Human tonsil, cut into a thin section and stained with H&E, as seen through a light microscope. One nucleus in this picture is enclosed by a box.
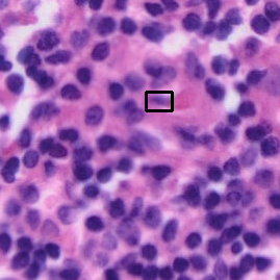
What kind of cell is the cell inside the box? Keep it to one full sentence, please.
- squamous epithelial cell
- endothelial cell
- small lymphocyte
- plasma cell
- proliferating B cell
In cell-type terms, the cell inside the box is an endothelial cell.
